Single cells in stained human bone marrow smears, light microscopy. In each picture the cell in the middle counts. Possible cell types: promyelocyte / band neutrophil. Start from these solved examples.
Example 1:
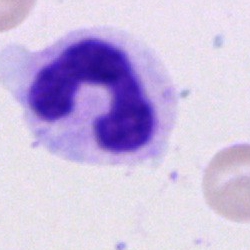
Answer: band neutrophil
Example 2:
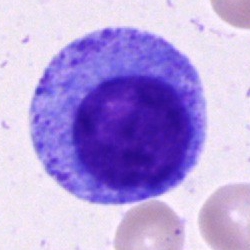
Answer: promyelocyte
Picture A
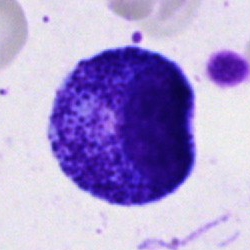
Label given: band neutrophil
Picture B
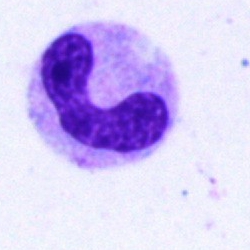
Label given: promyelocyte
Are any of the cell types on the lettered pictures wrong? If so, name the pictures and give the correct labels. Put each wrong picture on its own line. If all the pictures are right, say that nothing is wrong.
A: change band neutrophil to promyelocyte
B: change promyelocyte to band neutrophil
